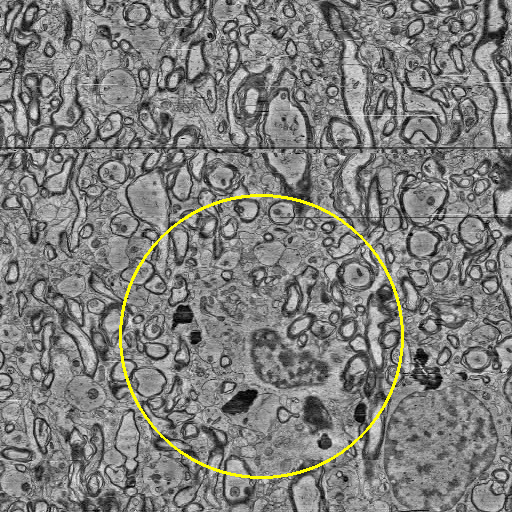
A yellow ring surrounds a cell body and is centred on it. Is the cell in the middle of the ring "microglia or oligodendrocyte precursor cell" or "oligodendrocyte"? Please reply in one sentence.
The ring is centred on a microglial cell or oligodendrocyte precursor cell.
